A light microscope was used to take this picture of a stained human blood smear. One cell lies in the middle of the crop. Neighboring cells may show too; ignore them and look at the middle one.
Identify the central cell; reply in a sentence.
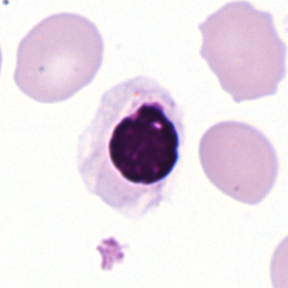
Positioned in the middle of the crop is an erythroblast.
